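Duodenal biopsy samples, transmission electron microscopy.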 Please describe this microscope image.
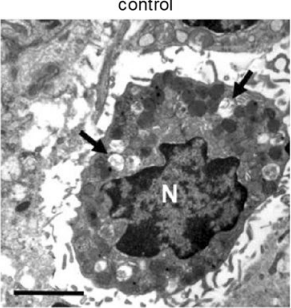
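This electron micrograph shows a single mast cell lying in the connective tissue of the intestinal lining. Its large, irregularly indented nucleus has dark chromatin clumped along its edge. The surrounding cytoplasm is filled with many round, membrane-bound granules, most of them dense and grey. A few granules, marked by arrows, look pale and partly emptied, with loose patchy contents, a sign of degranulation.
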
